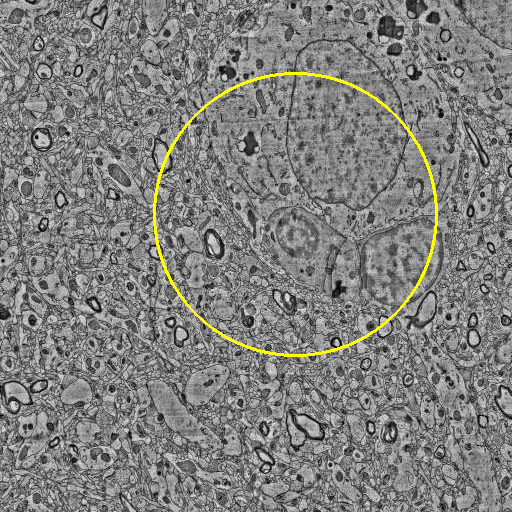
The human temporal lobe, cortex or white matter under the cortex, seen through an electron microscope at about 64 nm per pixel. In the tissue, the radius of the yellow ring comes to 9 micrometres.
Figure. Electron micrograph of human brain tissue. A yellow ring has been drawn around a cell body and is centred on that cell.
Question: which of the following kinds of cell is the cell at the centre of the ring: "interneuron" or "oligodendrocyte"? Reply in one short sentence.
The cell at the centre of the ring is an oligodendrocyte.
